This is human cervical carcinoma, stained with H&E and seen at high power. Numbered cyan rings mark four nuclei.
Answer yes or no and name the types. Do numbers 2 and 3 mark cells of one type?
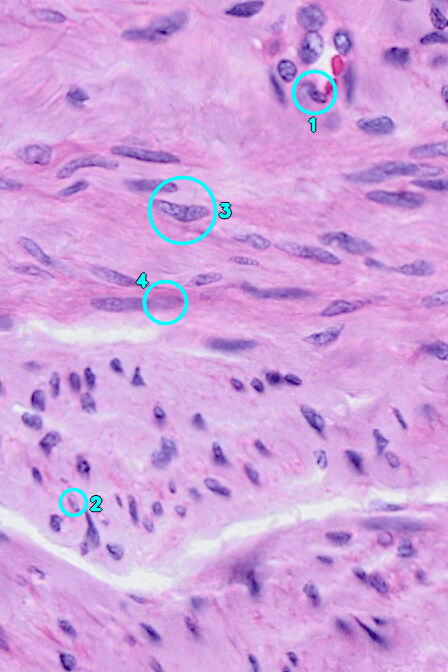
Yes, going by number, cells 2 and 3 are both smooth muscle cells.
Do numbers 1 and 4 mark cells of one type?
No, cell 1 here is an endothelial cell, and cell 4 here is a smooth muscle cell.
